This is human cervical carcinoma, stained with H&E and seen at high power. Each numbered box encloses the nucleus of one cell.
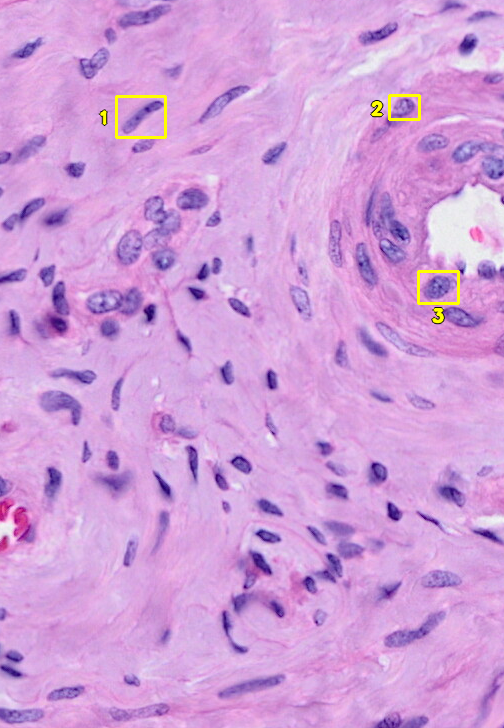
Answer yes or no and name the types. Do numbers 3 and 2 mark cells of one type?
Yes, as for cells 3 and 2, both are smooth muscle cells.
